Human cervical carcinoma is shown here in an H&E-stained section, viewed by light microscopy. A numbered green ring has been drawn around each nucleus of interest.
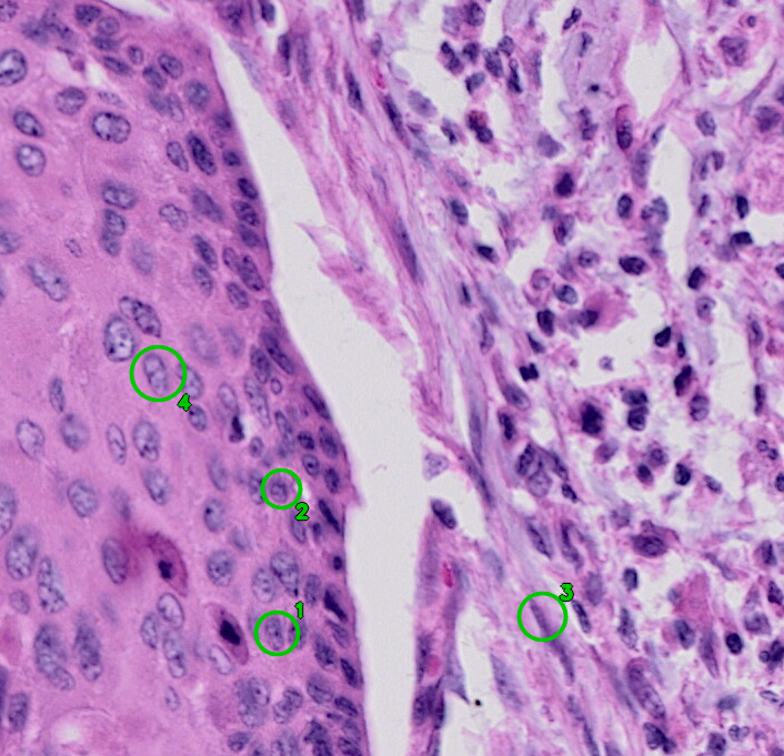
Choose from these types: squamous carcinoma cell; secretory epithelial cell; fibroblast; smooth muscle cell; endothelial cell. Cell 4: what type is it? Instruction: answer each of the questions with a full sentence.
The cell that goes by number 4 is a squamous carcinoma cell.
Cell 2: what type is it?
Here the cell numbered 2 is a squamous carcinoma cell.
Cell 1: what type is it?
The cell carrying label 1 is identified as a squamous carcinoma cell.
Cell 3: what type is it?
The cell given label 3 is a fibroblast.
